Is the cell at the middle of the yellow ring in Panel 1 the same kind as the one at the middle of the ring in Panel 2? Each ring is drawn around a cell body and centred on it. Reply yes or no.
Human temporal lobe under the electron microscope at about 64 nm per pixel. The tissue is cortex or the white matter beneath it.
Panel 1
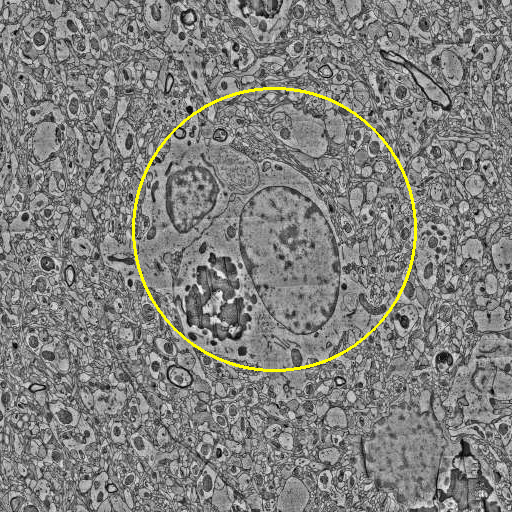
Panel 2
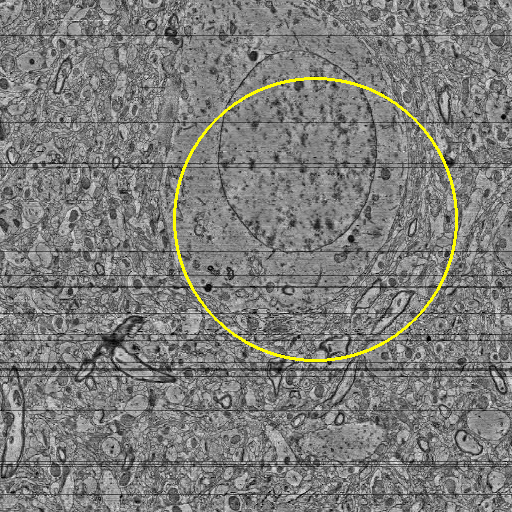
no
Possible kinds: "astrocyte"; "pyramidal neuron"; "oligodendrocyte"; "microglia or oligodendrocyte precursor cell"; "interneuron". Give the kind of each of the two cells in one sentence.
The cell in the second picture is a pyramidal neuron, and that in the first is an astrocyte.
